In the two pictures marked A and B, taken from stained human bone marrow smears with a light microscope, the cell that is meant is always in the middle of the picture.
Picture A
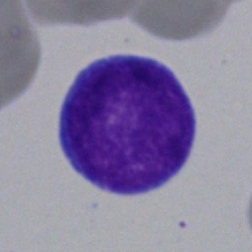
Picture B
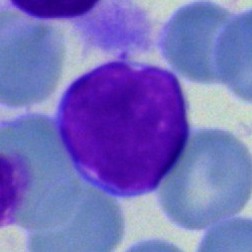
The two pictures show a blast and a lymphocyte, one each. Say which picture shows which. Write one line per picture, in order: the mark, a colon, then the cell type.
A: blast
B: lymphocyte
